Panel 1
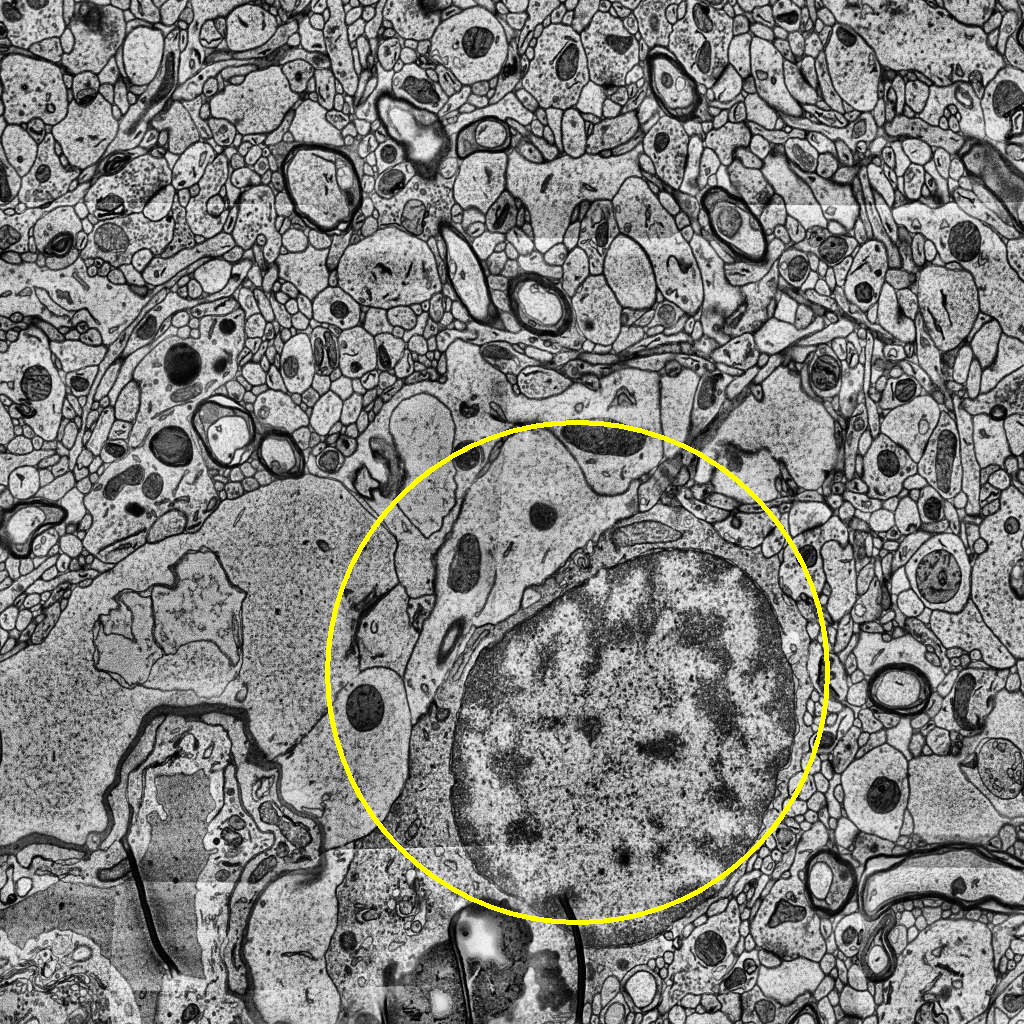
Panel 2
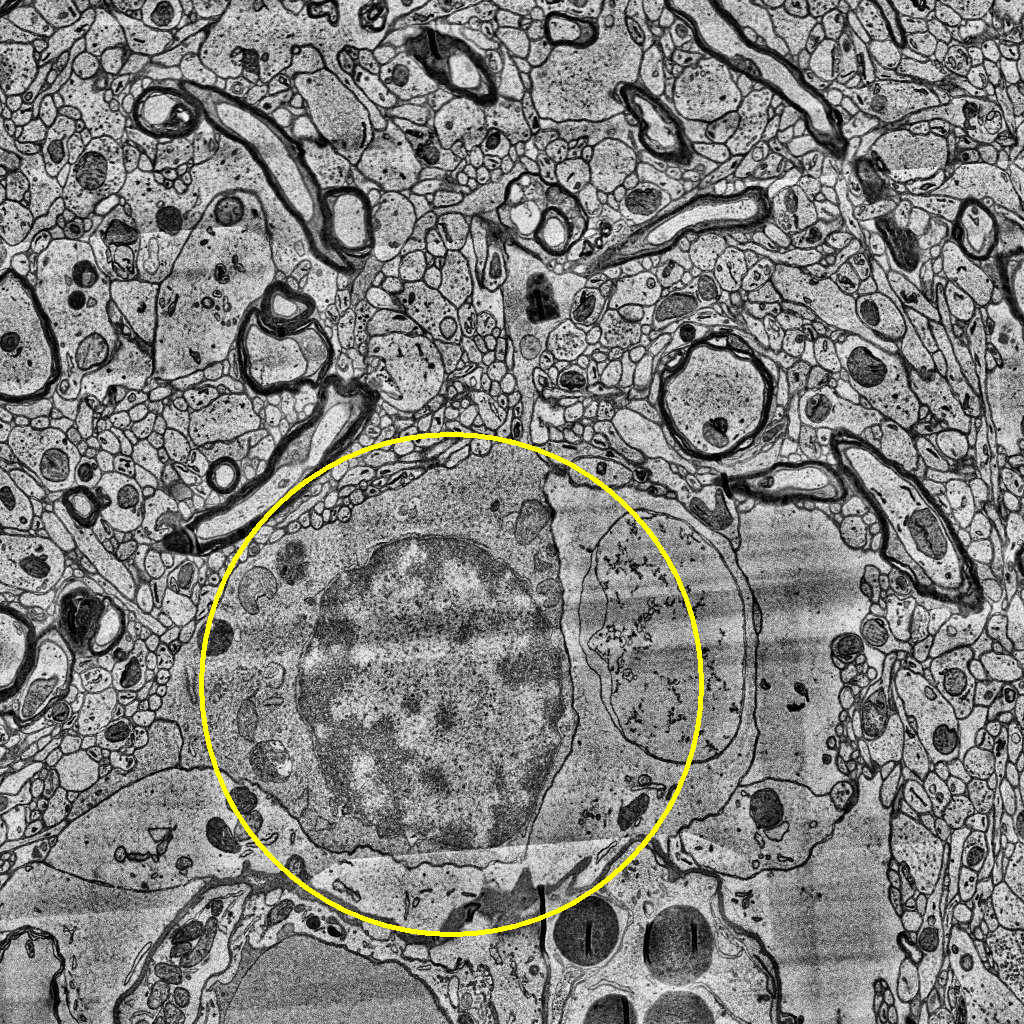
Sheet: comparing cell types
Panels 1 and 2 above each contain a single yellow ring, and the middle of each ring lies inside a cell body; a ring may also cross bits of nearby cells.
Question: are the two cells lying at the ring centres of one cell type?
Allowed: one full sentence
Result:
Yes, the cells at the ring centres in Panel 1 and Panel 2 are of one type.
